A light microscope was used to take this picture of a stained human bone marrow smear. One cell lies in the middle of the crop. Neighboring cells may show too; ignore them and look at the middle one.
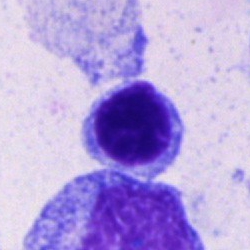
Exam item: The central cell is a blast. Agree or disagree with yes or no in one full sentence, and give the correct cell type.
No, it is not a blast that sits at the centre but a normoblast.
